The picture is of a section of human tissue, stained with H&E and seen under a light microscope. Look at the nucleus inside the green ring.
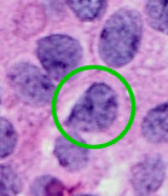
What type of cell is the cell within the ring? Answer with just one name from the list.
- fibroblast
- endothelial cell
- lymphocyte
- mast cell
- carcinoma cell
carcinoma cell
